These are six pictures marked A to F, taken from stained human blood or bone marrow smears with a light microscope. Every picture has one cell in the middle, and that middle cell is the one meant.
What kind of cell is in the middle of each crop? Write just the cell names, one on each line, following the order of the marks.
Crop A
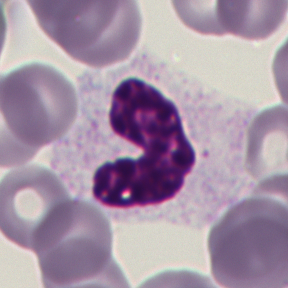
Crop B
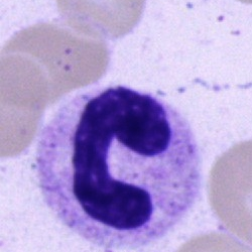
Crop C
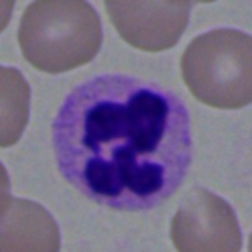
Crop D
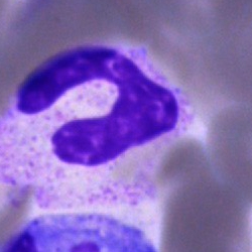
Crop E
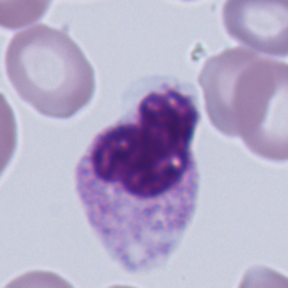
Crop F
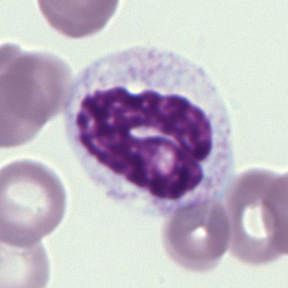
band neutrophil
band neutrophil
segmented neutrophil
segmented neutrophil
segmented neutrophil
band neutrophil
